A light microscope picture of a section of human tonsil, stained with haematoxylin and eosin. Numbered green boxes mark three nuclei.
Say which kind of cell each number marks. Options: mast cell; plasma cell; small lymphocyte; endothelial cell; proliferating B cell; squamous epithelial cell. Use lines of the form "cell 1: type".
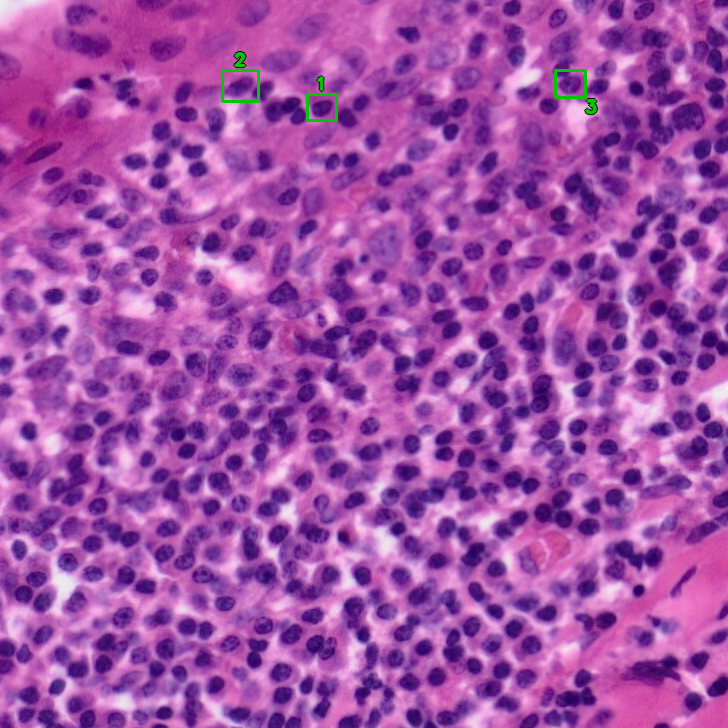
cell 1: plasma cell
cell 2: squamous epithelial cell
cell 3: plasma cell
